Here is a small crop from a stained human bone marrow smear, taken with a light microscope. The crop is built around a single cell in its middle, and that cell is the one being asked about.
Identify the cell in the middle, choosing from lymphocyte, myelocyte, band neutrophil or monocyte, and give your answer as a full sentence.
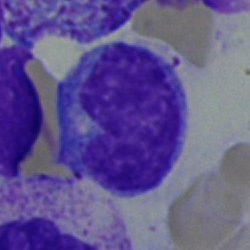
The cell sitting right in the middle is a monocyte.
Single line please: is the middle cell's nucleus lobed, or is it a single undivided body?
One compact mass makes up the whole nucleus, round, oval or kidney-shaped.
